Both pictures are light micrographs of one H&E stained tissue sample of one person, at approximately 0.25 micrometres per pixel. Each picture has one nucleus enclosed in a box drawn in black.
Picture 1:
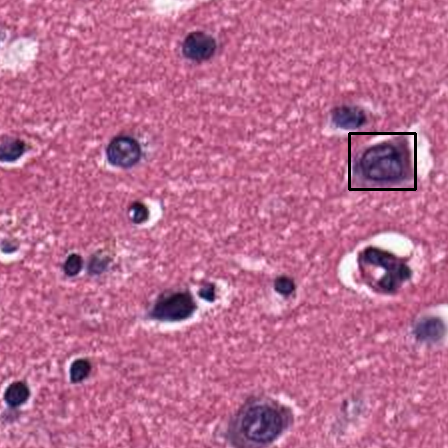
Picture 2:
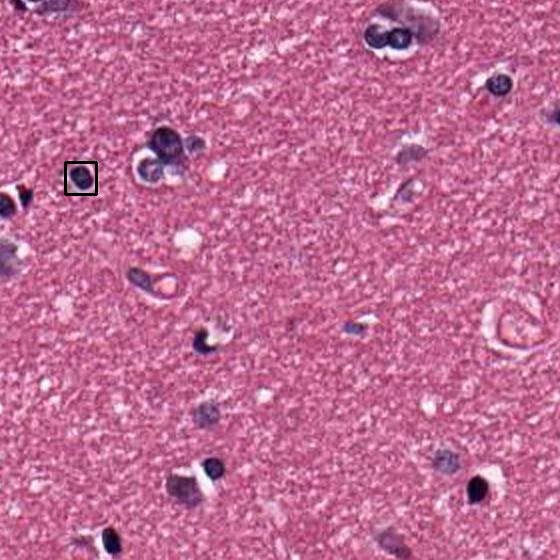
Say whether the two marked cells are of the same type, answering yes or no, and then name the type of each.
No, the first is a neuron and the second an oligodendrocyte.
